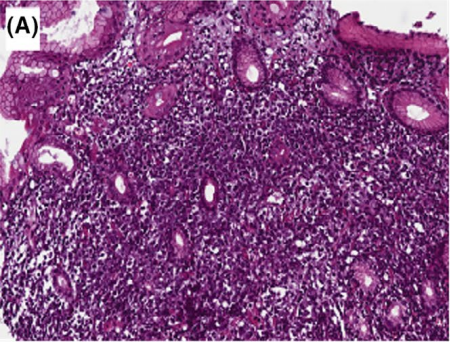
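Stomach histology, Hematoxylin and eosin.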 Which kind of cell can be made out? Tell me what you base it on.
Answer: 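The cells lie in sheets replacing the glandular mucosa.
Answer: large‐sized lymphoid cells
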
